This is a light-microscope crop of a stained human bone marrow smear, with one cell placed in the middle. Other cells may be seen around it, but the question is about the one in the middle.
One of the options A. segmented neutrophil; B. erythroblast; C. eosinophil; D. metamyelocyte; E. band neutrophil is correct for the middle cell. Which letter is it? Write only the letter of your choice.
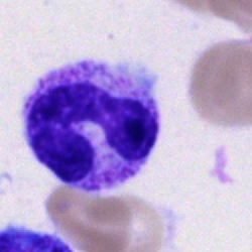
E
